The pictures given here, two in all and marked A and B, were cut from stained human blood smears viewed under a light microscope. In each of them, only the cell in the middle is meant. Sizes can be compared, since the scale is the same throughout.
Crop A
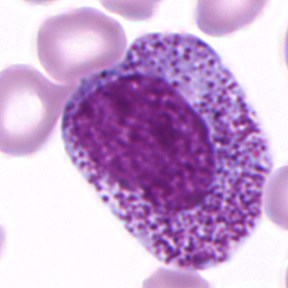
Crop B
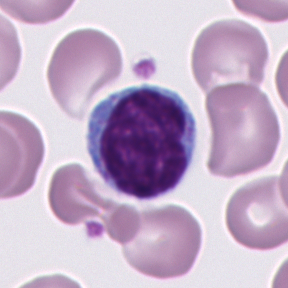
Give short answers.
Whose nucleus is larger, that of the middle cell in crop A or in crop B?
A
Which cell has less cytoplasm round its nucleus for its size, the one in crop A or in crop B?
B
